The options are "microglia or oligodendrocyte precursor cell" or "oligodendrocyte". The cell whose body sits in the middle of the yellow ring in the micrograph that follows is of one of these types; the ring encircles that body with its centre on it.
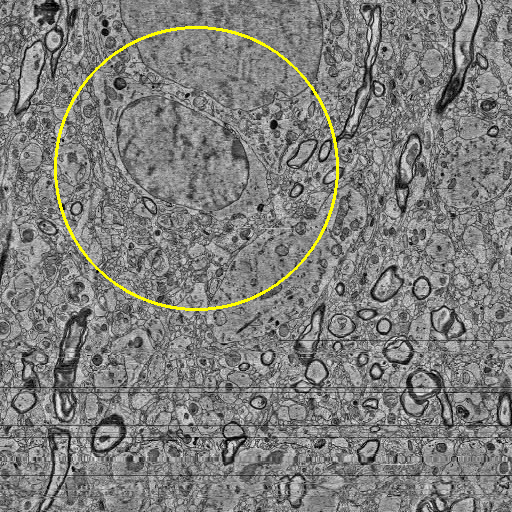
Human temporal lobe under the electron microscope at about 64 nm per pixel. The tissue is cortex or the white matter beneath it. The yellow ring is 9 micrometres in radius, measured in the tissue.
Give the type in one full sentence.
Going by the micrograph, the cell centred in the yellow ring is a microglial cell or oligodendrocyte precursor cell.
